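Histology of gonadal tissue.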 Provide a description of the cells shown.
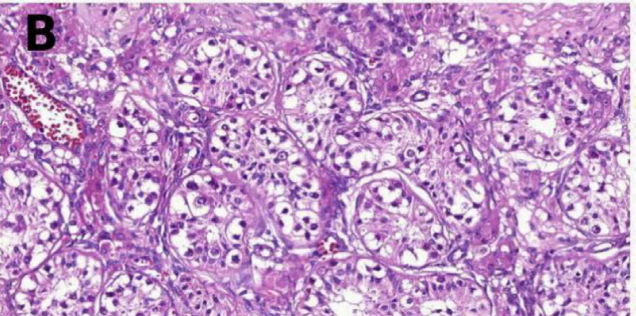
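Here seminiferous tubules are cut across, separated by thin strands of pink connective tissue. Inside the tubules lie large atypical cells with clear, empty-looking cytoplasm and enlarged round nuclei. A blood vessel full of red blood cells lies at the upper left edge.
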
